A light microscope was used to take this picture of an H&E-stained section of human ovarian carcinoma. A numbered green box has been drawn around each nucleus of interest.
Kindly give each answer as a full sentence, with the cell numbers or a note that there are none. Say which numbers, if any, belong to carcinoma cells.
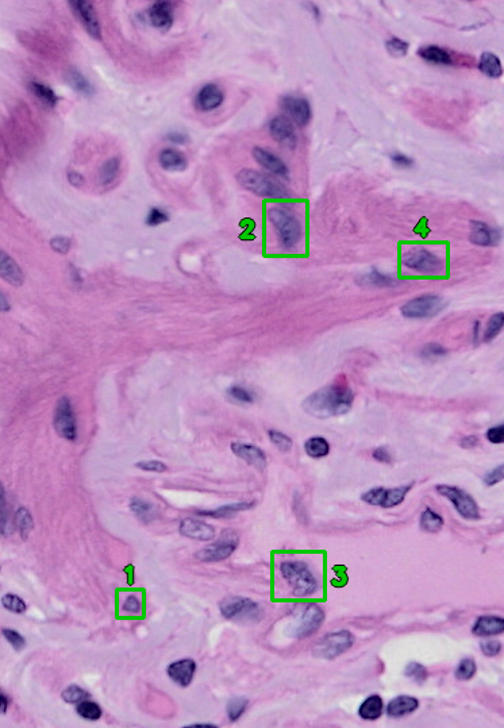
Whichever numbered cell is considered, it is not one of the carcinoma cells.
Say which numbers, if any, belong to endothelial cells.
Cell 3 is the one numbered cell that is an endothelial cell.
